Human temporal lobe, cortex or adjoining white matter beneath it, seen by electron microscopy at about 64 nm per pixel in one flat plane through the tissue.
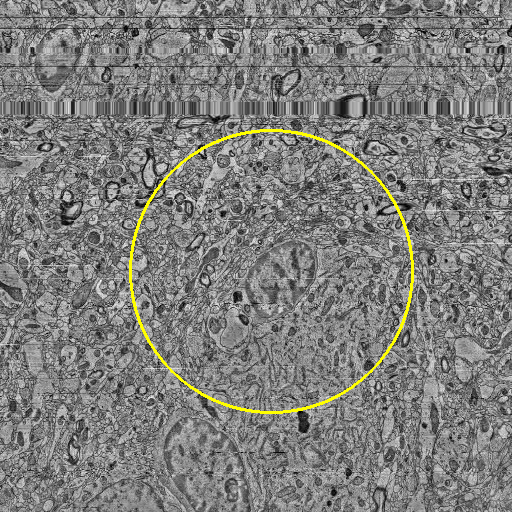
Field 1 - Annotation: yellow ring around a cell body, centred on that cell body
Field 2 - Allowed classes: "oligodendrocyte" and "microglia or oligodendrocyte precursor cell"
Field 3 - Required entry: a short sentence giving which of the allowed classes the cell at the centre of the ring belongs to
The centred cell is an oligodendrocyte.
